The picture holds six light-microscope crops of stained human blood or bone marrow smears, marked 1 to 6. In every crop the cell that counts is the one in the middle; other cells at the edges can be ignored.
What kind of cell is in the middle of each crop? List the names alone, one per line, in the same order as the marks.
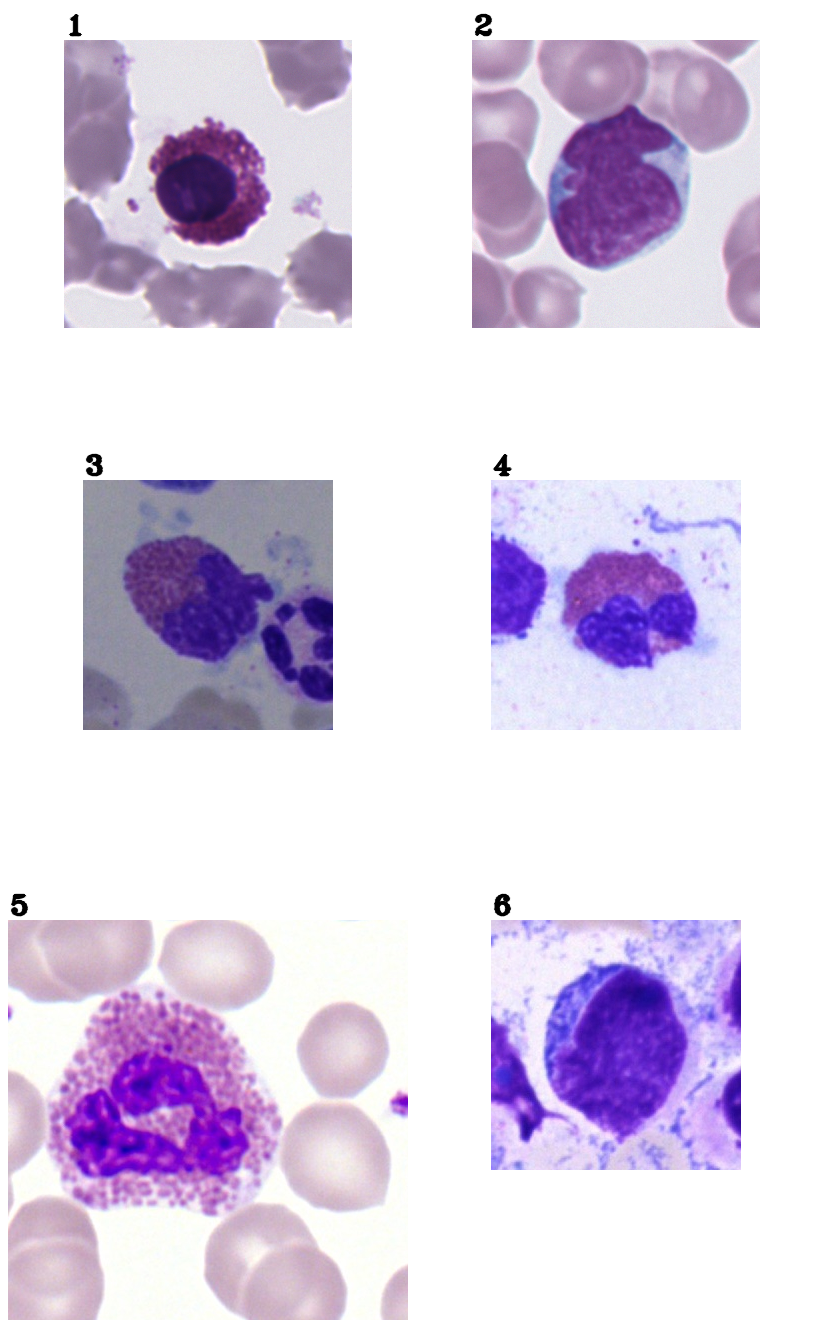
eosinophil
blast
eosinophil
eosinophil
eosinophil
blast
